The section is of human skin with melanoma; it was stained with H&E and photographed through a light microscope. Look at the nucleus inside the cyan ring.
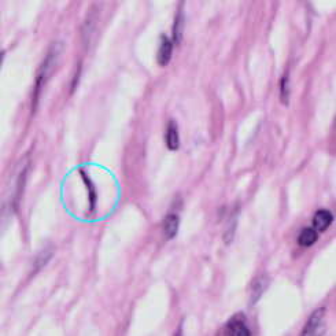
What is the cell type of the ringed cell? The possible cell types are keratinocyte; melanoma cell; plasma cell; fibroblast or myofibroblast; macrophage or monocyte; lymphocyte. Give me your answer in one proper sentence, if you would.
In terms of identity, the ringed cell is a fibroblast or myofibroblast.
